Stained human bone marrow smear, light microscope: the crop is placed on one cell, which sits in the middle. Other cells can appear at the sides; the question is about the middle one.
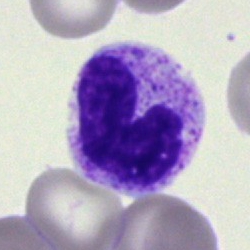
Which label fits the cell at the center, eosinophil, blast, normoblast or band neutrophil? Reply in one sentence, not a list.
The central element of this crop is a cell, namely a band neutrophil.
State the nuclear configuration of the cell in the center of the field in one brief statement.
If you check the nucleus, you will find one compact mass, round, oval or kidney-shaped.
